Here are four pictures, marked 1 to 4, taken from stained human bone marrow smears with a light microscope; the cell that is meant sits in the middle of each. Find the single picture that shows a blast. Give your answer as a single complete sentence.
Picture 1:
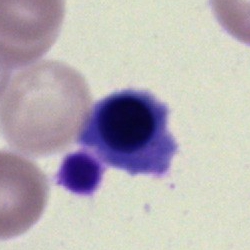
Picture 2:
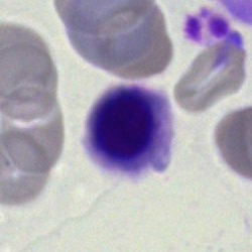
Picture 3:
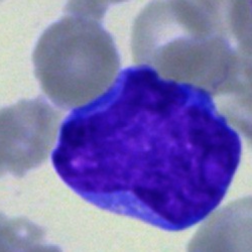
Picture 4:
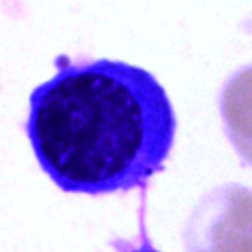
It is picture 3 that shows the blast.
